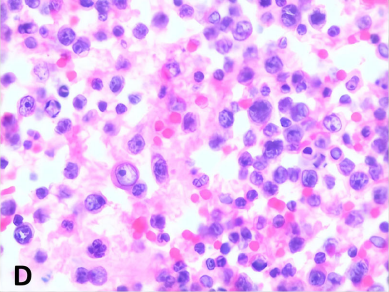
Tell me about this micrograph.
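This cell block section shows a crowded population of atypical lymphoid cells of moderate to large size, lying loosely among red blood cells. The nuclei are round to oval, with open chromatin and visible nucleoli, and each is surrounded by only a scant rim of pink cytoplasm. The cells do not form glands or cohesive sheets, and small dark lymphocytes are scattered among the larger atypical cells.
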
